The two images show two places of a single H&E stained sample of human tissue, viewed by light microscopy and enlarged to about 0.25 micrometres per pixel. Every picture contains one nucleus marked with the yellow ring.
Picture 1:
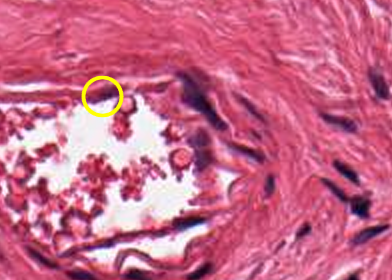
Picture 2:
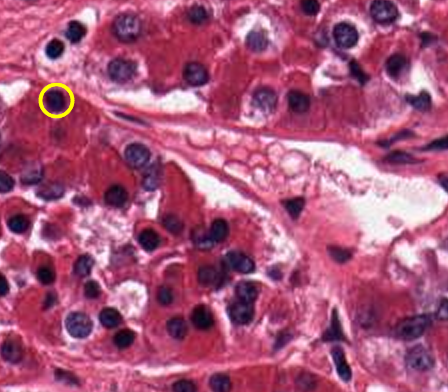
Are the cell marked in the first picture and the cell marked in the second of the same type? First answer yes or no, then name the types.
No, the first is an endothelial cell and the second an anterior pituitary cell.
